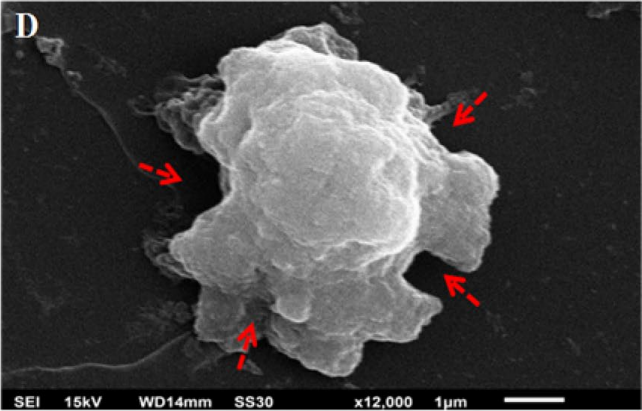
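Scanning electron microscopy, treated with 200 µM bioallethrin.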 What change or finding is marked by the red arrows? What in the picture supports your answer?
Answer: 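The cell outline is irregular with several protruding lobes.
Conclusion: disrupted morphology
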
